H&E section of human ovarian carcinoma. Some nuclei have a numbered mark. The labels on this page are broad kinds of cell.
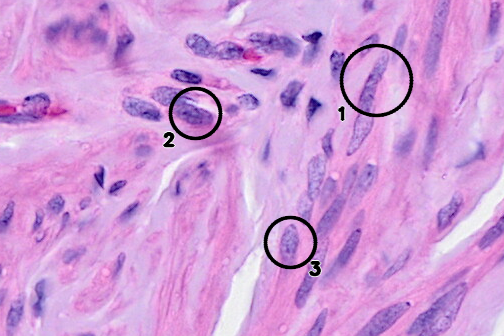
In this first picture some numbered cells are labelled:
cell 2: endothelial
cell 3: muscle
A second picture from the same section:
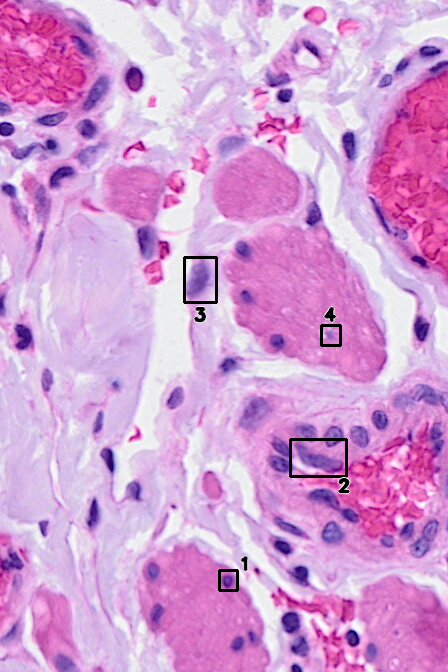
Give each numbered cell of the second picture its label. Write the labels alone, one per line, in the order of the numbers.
muscle
endothelial
endothelial
muscle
